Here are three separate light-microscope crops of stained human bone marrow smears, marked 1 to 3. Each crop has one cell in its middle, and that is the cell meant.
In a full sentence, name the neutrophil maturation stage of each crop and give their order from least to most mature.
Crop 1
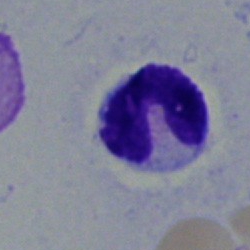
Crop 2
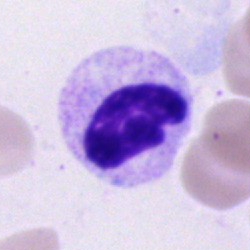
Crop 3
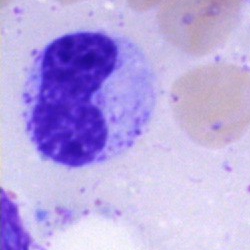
The sequence of maturation runs crop 3 (a metamyelocyte), crop 1 (a band neutrophil) and crop 2 (a segmented neutrophil), from least to most mature.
